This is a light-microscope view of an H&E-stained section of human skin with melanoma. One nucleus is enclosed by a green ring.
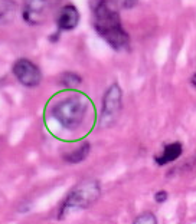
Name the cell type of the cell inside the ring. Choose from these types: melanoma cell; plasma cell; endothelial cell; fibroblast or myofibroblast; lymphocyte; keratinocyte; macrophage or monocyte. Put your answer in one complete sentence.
By cell type, the cell inside the ring is an endothelial cell.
